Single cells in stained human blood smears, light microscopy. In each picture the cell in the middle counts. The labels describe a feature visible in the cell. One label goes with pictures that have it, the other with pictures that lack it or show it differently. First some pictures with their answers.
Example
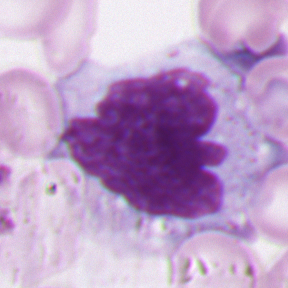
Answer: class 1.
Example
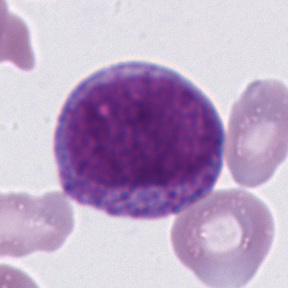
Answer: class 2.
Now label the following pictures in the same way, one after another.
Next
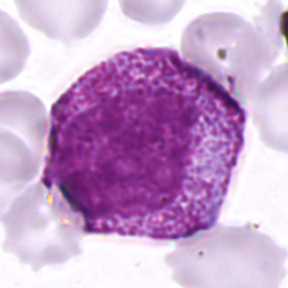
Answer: class 1.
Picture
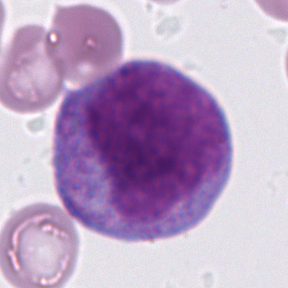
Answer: class 1.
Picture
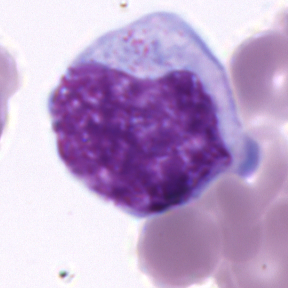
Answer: class 2.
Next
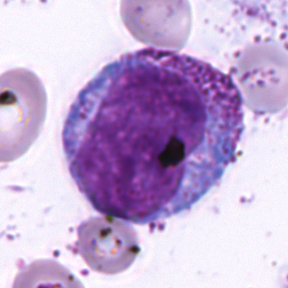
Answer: class 2.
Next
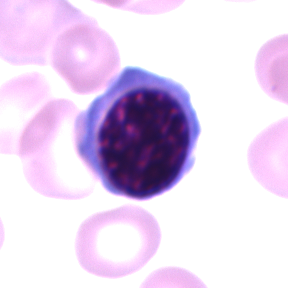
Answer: class 2.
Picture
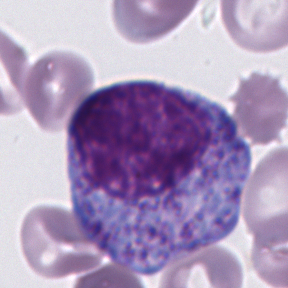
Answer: class 1.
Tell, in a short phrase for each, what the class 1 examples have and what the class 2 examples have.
In class 1: abundant cytoplasm. In class 2: scant cytoplasm.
